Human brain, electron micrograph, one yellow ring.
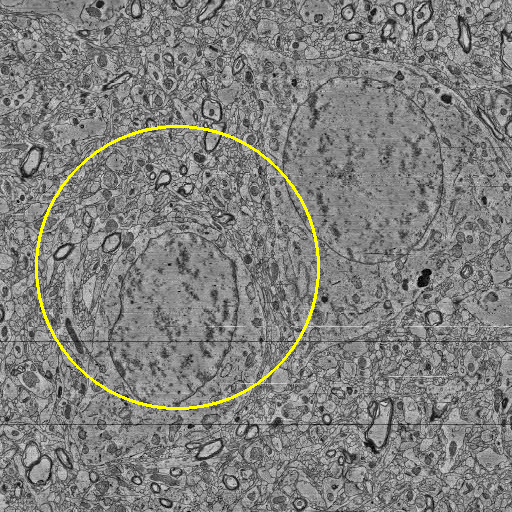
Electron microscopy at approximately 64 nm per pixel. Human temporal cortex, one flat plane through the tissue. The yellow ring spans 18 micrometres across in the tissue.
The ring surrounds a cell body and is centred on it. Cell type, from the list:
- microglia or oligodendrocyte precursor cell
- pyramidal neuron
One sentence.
The yellow ring circles a pyramidal neuron.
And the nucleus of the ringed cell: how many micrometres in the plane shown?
About 12 by 8 micrometres in this plane; clearly longer than it is wide.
